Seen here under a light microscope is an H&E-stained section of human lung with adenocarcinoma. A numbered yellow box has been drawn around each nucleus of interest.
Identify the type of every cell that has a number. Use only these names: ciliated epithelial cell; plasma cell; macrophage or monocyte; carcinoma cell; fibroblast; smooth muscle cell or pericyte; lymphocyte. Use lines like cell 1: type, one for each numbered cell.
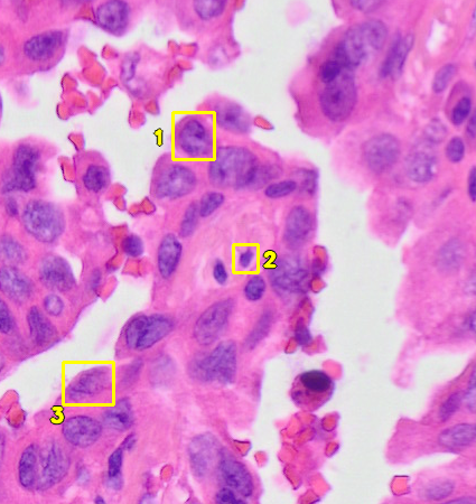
cell 1: carcinoma cell
cell 2: lymphocyte
cell 3: carcinoma cell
